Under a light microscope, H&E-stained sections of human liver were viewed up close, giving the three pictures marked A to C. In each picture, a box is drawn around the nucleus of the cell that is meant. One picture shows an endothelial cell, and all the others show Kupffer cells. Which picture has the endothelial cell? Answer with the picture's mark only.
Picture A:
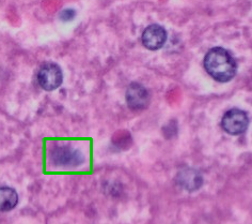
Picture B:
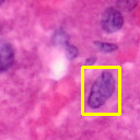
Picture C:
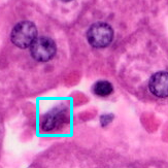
A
